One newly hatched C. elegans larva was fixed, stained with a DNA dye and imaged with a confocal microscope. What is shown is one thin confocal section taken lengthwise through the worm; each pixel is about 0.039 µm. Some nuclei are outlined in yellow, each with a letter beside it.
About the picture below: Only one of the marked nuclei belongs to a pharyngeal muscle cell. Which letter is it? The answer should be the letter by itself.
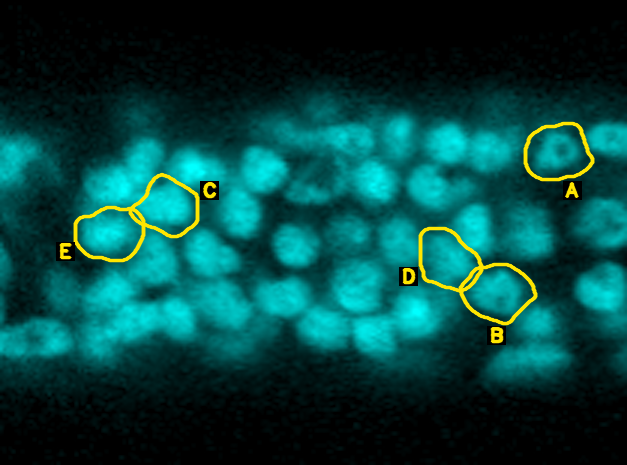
D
